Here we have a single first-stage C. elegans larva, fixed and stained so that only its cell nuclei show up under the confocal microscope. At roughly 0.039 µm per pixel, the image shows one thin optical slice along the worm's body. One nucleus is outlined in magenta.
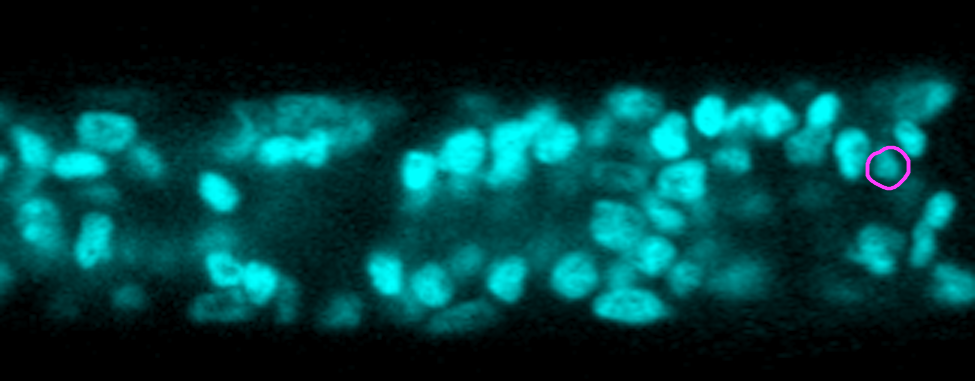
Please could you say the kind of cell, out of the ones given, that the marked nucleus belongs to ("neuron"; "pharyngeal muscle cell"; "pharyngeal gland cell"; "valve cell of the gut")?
pharyngeal muscle cell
